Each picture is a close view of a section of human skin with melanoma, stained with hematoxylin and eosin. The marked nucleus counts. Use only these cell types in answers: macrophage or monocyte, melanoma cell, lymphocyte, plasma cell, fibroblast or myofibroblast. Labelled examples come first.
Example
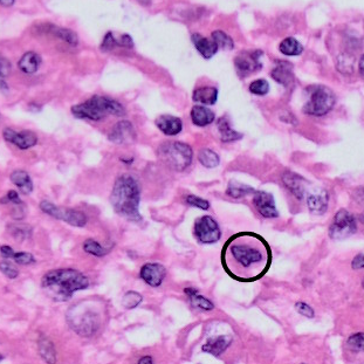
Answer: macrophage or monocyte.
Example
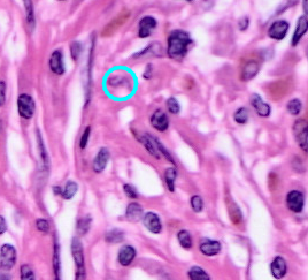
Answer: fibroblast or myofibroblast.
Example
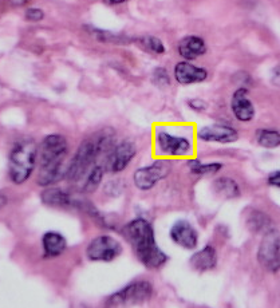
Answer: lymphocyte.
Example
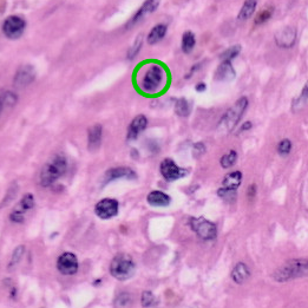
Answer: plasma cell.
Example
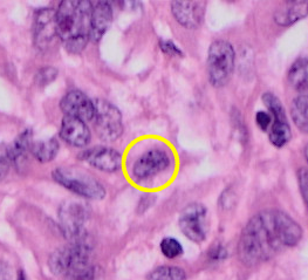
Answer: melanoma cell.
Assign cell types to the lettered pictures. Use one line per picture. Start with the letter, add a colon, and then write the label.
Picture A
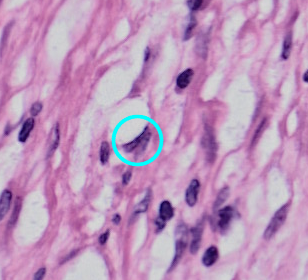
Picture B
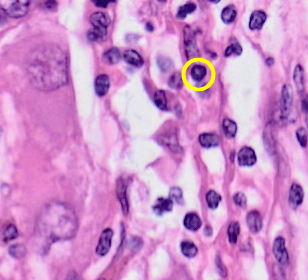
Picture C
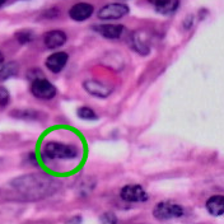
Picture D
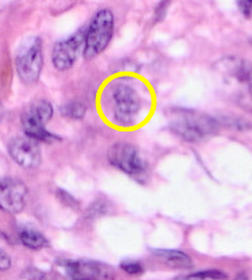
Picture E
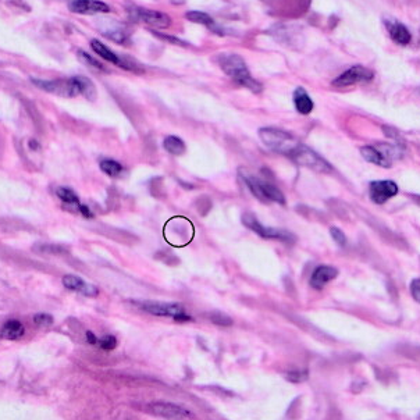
A: fibroblast or myofibroblast.
B: lymphocyte.
C: plasma cell.
D: melanoma cell.
E: fibroblast or myofibroblast.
